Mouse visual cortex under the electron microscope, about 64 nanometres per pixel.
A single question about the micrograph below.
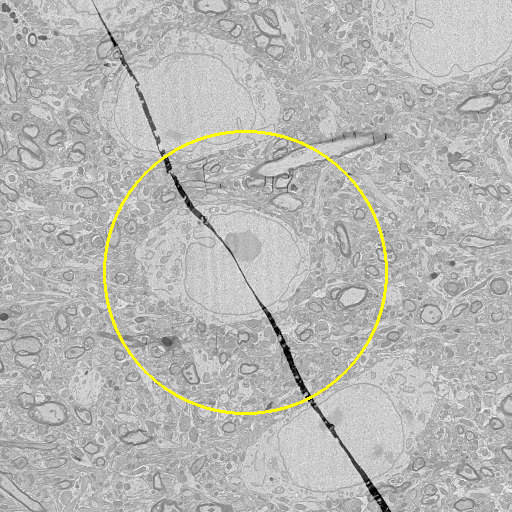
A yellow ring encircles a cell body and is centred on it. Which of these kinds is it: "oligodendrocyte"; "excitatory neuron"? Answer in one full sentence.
The cell body at the centre of the yellow ring belongs to an excitatory neuron.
